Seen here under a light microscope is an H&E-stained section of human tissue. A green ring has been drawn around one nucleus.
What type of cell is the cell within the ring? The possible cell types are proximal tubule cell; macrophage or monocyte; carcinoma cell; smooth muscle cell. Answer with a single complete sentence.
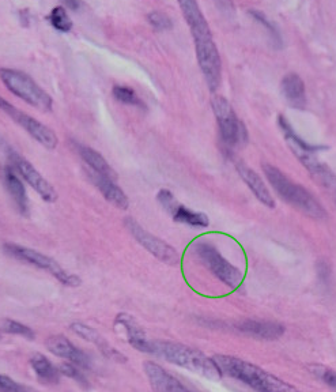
In this section, the cell within the ring is a smooth muscle cell.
